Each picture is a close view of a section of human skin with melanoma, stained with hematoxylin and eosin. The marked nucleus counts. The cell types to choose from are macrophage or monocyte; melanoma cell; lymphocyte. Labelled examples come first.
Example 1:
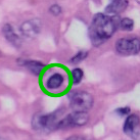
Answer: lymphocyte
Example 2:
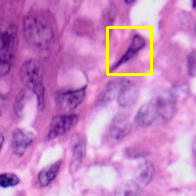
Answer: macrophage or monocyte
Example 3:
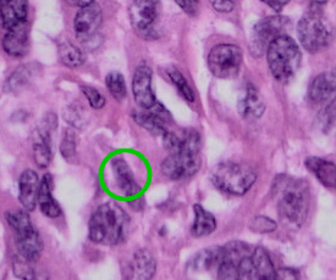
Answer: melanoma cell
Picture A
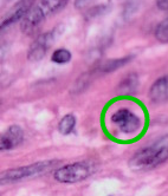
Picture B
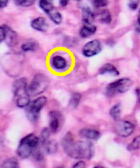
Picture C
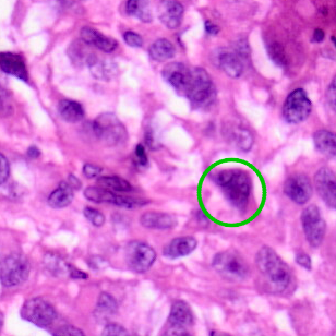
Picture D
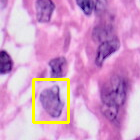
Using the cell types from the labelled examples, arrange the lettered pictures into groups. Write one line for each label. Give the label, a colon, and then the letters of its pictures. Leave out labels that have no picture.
macrophage or monocyte: D
melanoma cell: C
lymphocyte: A, B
